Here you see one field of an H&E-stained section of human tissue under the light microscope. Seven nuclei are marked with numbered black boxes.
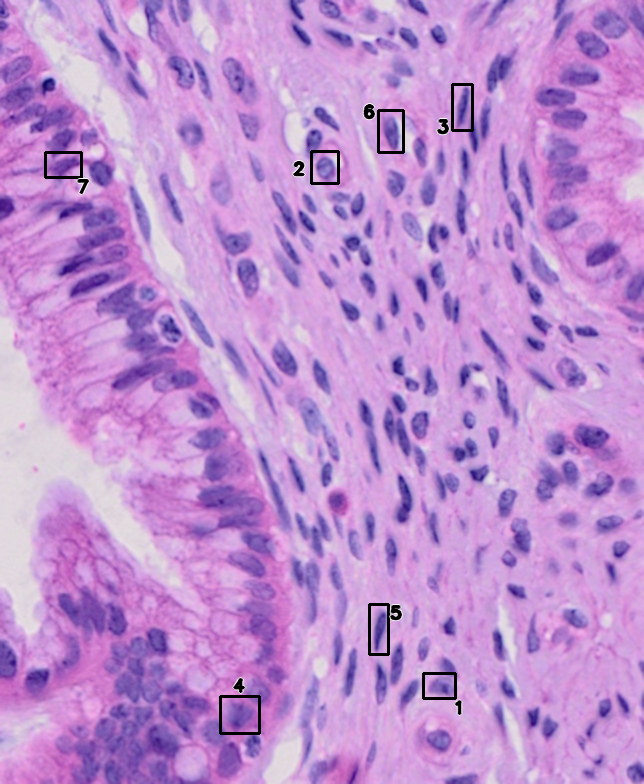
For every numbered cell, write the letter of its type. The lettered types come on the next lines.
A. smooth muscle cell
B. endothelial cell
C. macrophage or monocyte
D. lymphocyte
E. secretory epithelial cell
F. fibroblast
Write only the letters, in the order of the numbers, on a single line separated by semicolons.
F; B; F; E; F; B; E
